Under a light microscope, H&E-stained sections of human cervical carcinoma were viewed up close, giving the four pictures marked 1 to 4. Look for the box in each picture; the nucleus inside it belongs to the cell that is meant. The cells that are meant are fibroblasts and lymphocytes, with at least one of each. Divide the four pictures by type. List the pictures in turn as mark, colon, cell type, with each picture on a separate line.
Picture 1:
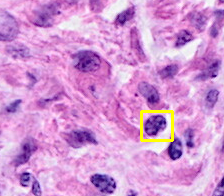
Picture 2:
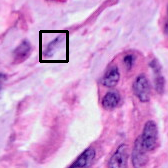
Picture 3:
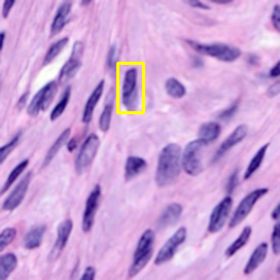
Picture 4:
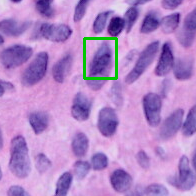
1: lymphocyte
2: fibroblast
3: fibroblast
4: fibroblast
